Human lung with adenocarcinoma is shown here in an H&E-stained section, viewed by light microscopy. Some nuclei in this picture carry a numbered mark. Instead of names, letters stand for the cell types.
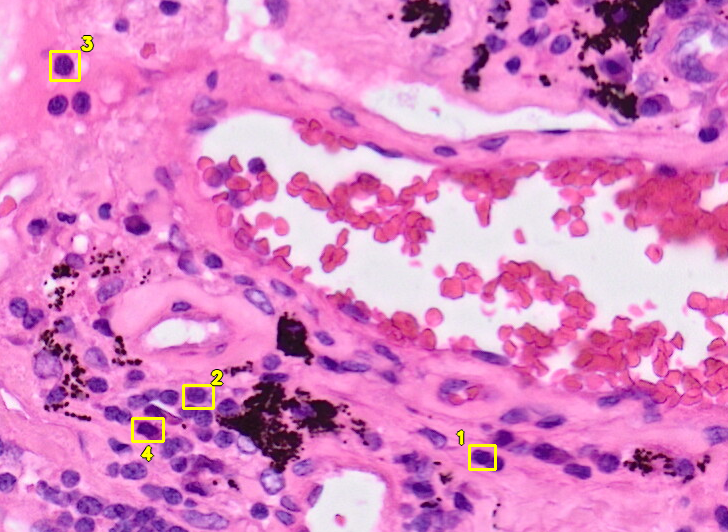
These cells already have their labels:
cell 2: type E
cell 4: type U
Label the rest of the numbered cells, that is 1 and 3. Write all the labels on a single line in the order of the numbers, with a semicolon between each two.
type E; type E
